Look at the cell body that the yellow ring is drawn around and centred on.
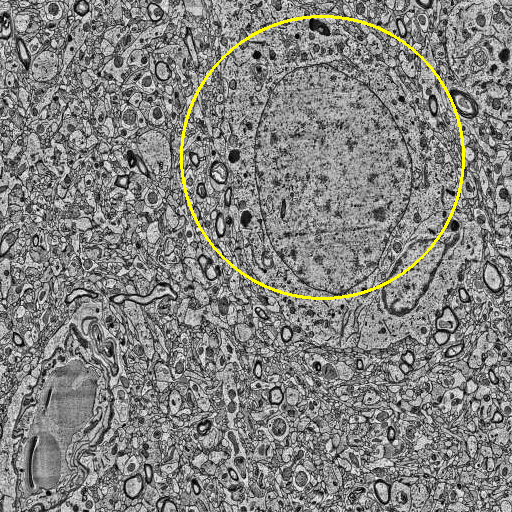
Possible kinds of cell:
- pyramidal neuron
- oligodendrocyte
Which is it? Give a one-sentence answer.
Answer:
The centred cell body is that of a pyramidal neuron.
